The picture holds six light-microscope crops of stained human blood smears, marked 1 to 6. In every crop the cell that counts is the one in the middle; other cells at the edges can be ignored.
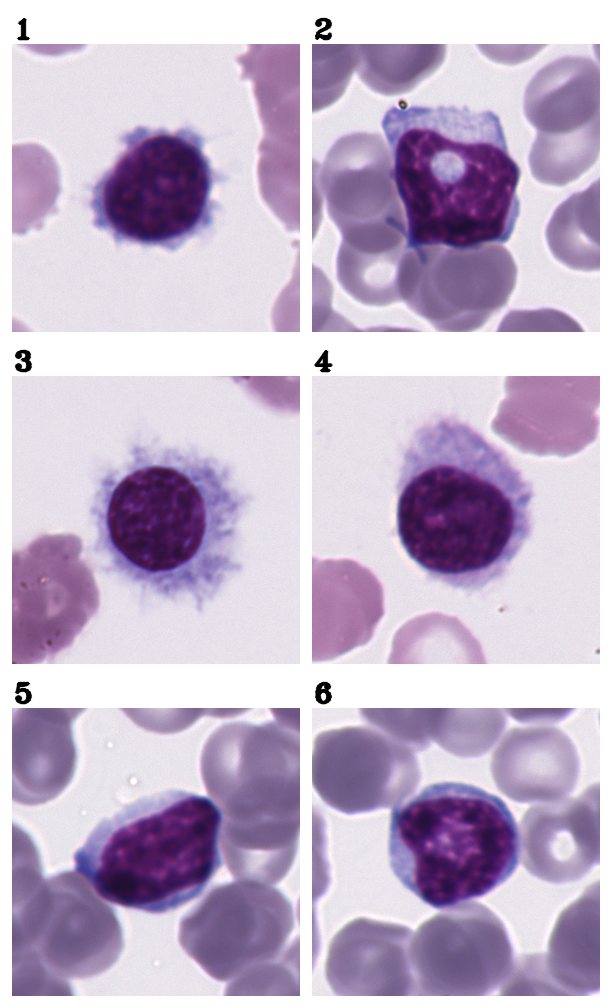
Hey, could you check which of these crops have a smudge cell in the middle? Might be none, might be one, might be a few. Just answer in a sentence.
Sorry, but none of these crops shows a smudge cell.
